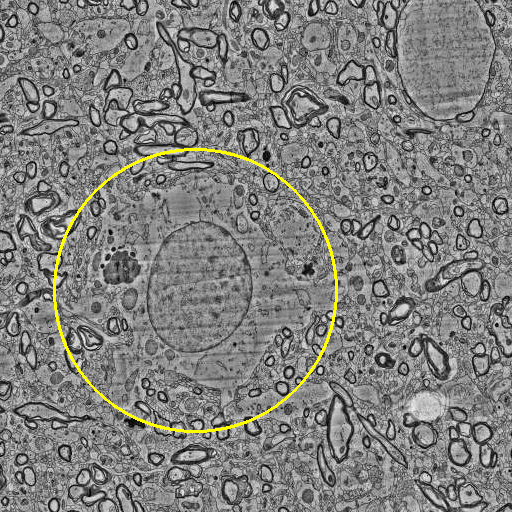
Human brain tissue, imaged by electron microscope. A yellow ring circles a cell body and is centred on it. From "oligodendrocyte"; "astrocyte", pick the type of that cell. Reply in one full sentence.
The cell body at the centre of the yellow ring belongs to an astrocyte.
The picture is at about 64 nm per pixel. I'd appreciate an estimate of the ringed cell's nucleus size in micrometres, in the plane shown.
In this plane, roughly 8 by 7 micrometres.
